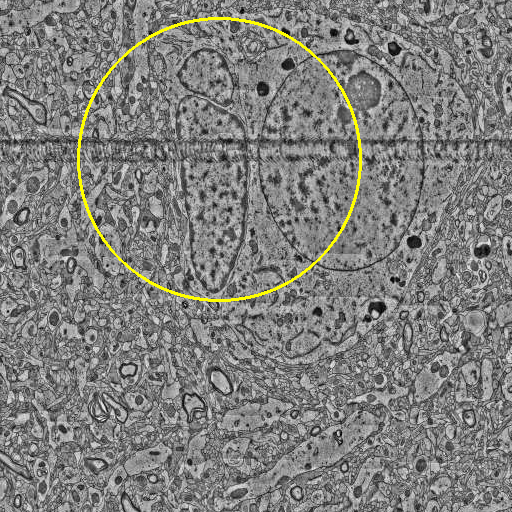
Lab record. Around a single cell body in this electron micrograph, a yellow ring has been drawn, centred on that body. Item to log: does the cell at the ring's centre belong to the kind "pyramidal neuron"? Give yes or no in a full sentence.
No, in the micrograph, the ringed cell at the centre belongs to a different kind.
